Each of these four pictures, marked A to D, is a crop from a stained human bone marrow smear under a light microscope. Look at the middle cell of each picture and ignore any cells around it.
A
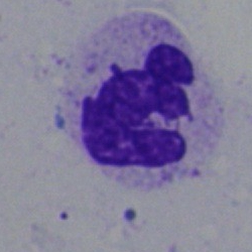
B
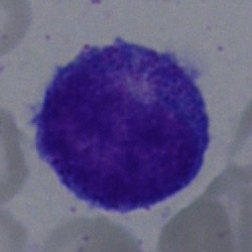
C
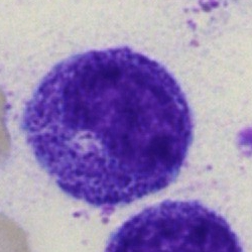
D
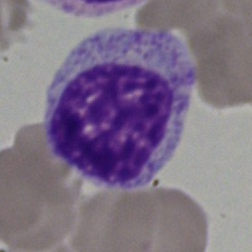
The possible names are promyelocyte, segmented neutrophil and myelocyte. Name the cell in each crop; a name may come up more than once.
A: segmented neutrophil
B: promyelocyte
C: promyelocyte
D: myelocyte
